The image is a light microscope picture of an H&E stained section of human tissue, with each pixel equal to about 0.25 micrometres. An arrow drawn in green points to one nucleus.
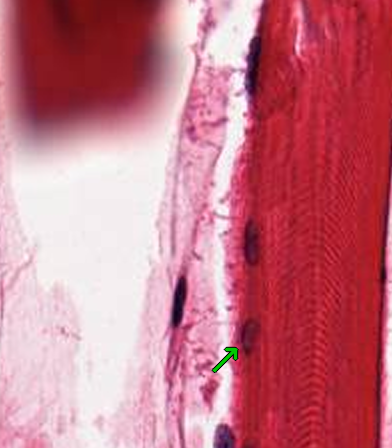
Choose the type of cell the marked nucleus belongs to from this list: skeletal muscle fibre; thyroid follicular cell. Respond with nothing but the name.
skeletal muscle fibre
